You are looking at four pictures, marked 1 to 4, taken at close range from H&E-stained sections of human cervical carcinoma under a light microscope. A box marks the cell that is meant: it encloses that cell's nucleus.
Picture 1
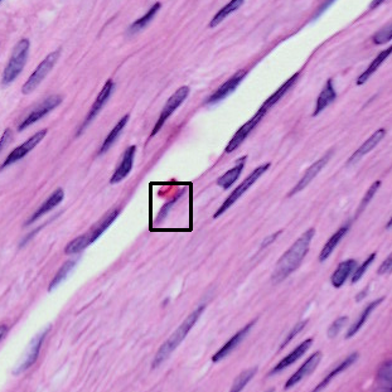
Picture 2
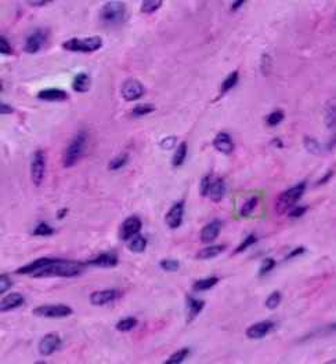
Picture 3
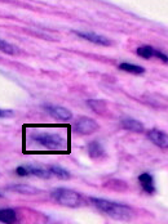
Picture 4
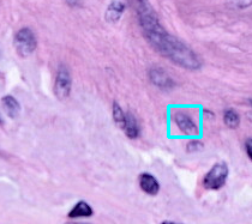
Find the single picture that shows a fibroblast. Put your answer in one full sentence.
The cell in picture 3 is the fibroblast.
